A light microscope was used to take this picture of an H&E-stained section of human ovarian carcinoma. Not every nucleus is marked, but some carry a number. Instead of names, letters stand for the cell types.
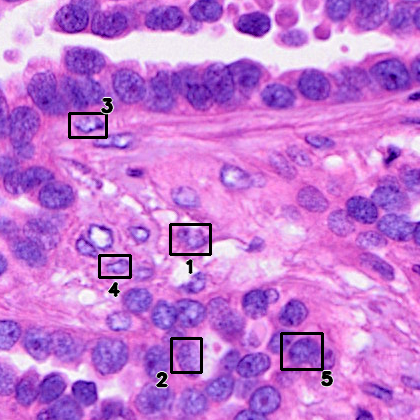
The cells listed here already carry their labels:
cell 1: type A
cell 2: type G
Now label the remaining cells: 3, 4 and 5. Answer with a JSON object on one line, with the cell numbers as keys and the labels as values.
{"3": "type A", "4": "type A", "5": "type G"}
